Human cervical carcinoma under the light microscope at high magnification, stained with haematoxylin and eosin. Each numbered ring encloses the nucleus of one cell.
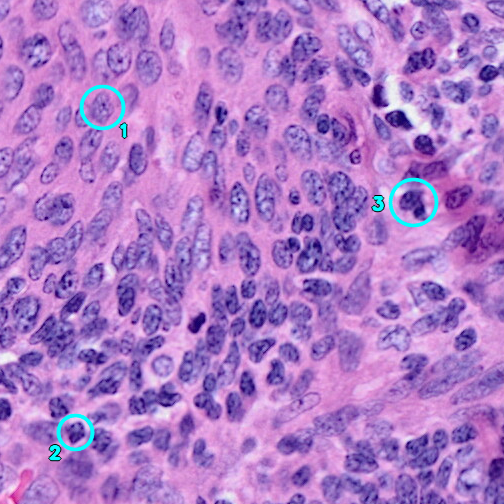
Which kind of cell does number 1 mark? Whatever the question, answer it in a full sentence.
Here the cell numbered 1 is a squamous carcinoma cell.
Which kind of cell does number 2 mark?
The nucleus with number 2 is that of a lymphocyte.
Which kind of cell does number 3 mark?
Belonging to a lymphocyte is the nucleus that carries the number 3.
